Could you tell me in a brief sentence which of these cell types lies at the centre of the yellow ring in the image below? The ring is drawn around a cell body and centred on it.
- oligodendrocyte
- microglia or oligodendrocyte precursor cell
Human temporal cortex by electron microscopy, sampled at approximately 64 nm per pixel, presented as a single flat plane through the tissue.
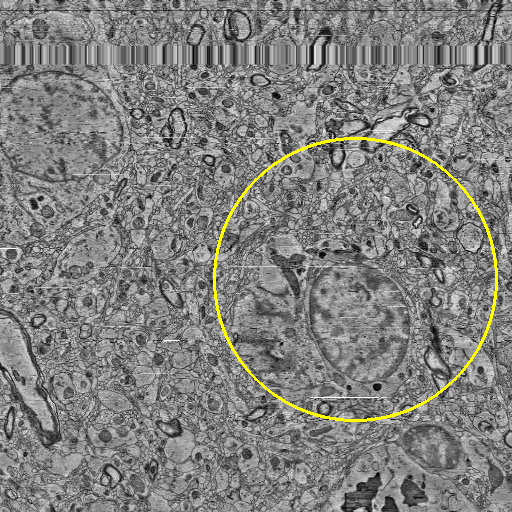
The cell centred in the ring is an oligodendrocyte.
